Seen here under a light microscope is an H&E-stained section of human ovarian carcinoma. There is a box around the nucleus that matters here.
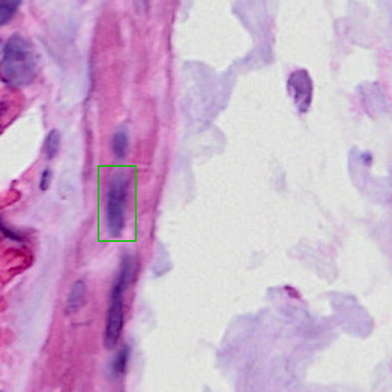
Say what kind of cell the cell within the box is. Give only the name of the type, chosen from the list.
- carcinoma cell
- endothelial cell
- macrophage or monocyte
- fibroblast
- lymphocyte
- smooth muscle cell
smooth muscle cell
